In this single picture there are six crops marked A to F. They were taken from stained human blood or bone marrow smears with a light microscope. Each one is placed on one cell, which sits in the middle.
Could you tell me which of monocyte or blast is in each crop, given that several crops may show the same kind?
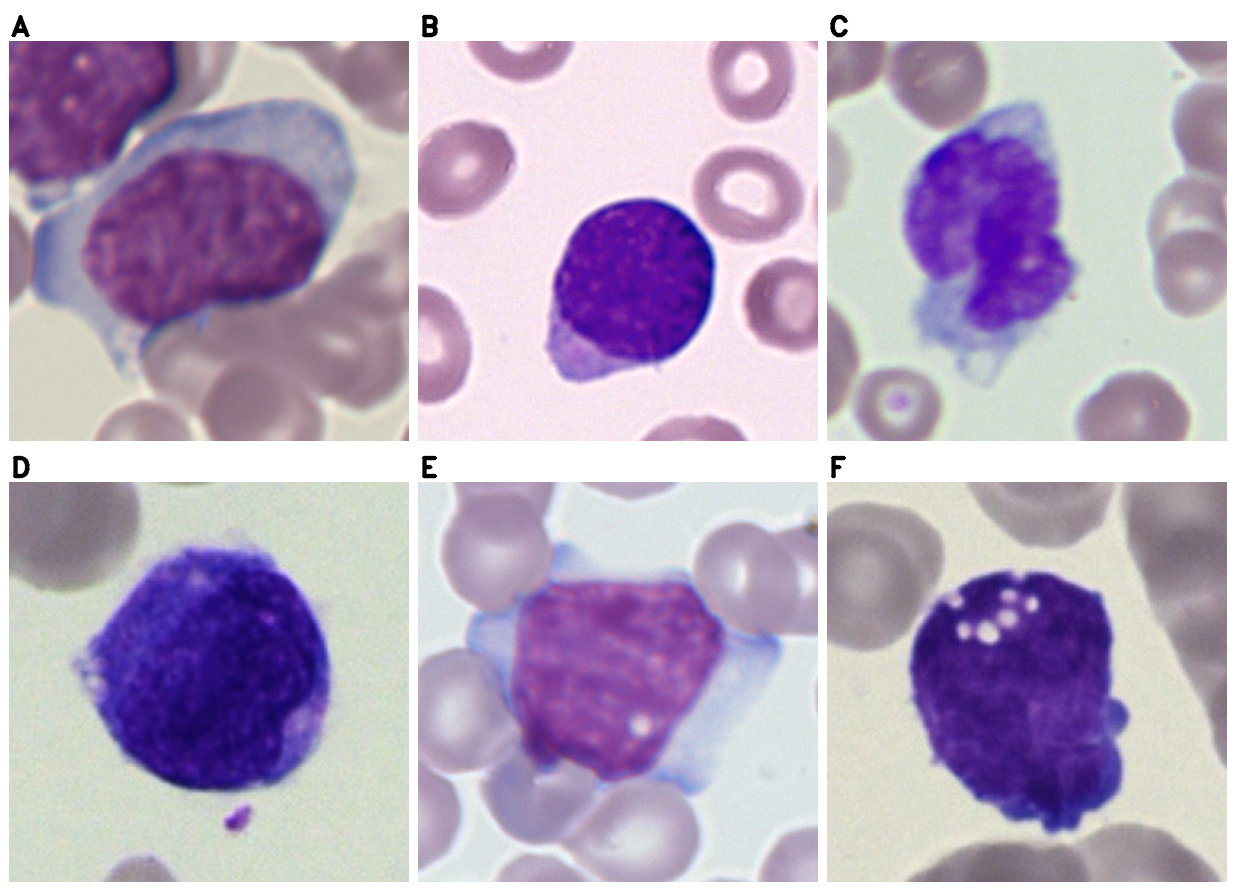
A: blast
B: blast
C: monocyte
D: monocyte
E: blast
F: blast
